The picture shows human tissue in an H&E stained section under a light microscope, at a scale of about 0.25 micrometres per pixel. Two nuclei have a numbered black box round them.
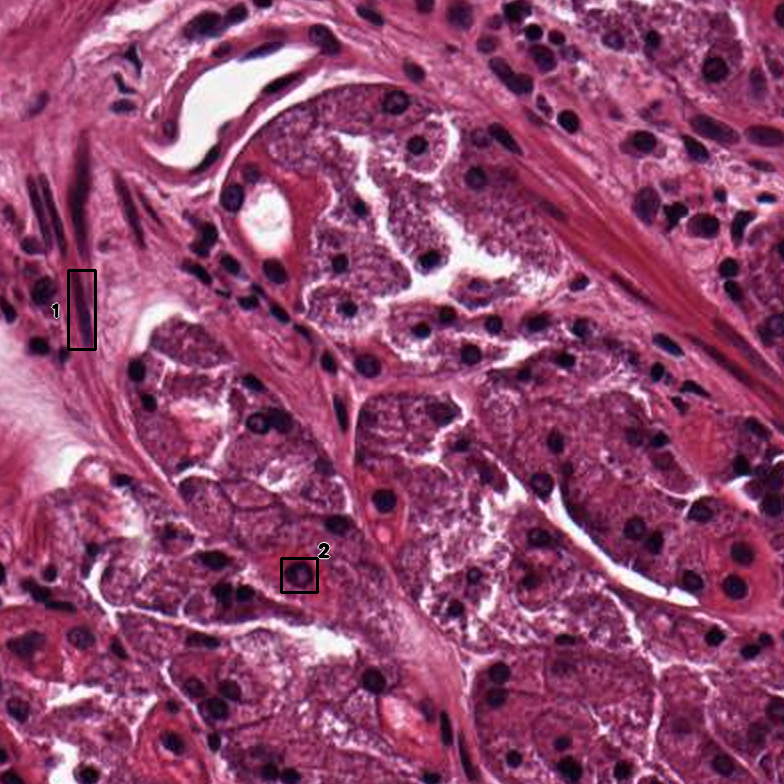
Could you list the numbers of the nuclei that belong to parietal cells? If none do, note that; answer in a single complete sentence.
To a parietal cell belongs nucleus 2, and no other numbered nucleus.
